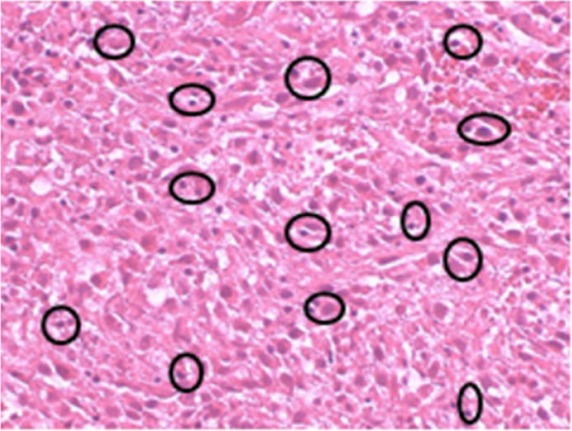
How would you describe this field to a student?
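Tumor tissue made of densely packed, sheet-like tumor cells without clear glandular or layered organisation. The cells are polygonal to somewhat elongated and vary in size and shape. Small clear spaces are scattered between the cells. Several single cells with darker nuclear material are scattered across the field.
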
